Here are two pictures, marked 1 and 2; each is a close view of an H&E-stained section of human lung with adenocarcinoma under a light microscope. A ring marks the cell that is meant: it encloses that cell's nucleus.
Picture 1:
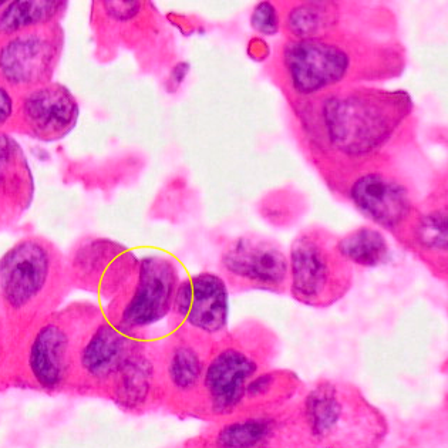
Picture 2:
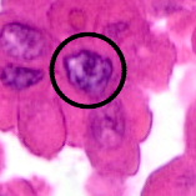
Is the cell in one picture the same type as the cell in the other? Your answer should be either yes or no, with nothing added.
yes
